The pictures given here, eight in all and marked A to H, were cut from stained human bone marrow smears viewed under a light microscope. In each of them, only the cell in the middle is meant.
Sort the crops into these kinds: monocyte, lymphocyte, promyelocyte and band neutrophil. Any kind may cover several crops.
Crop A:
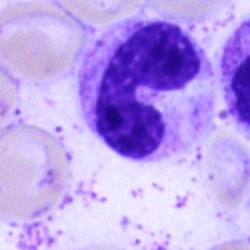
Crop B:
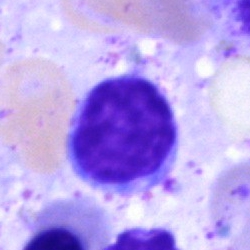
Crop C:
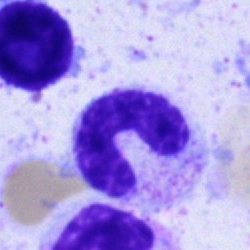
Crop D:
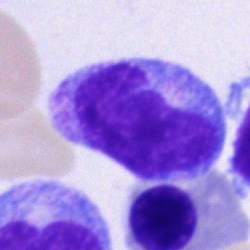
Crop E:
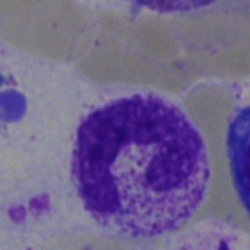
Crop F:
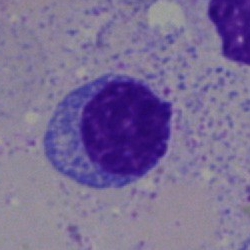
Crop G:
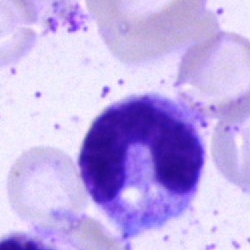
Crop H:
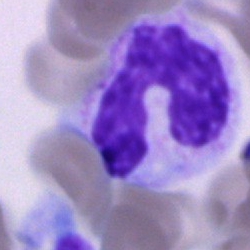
A: band neutrophil
B: lymphocyte
C: band neutrophil
D: monocyte
E: band neutrophil
F: lymphocyte
G: band neutrophil
H: band neutrophil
